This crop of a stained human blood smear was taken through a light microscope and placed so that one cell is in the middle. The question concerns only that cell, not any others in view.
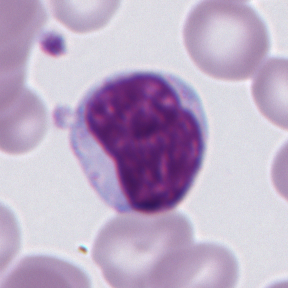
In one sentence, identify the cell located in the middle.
The cell at the middle of the crop is recognized as a large granular lymphocyte.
